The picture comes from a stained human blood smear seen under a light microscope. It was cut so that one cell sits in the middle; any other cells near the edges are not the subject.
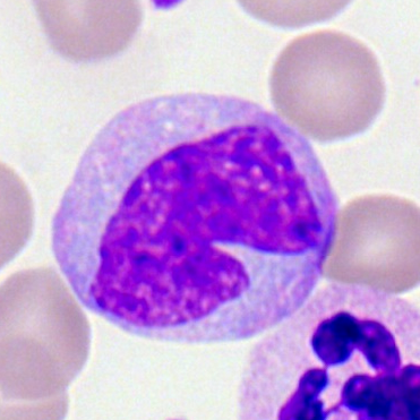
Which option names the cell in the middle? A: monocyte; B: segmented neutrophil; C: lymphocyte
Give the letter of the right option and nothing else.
A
